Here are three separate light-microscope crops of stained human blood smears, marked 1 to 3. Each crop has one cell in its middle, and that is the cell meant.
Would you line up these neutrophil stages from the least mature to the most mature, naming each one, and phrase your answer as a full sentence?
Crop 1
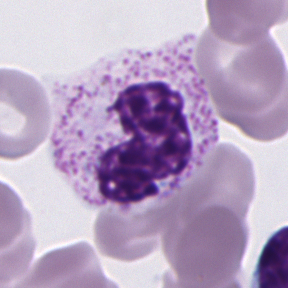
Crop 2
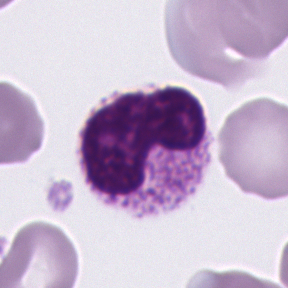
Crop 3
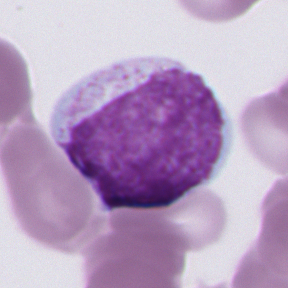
Listed in order of increasing maturity, the crops are crop 3 (a myelocyte), crop 2 (a band neutrophil) and crop 1 (a segmented neutrophil).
